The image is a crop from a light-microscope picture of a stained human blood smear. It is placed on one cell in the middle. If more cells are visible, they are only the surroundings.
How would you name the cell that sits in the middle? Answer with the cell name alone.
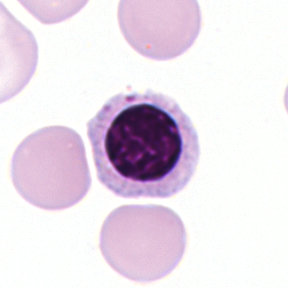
erythroblast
